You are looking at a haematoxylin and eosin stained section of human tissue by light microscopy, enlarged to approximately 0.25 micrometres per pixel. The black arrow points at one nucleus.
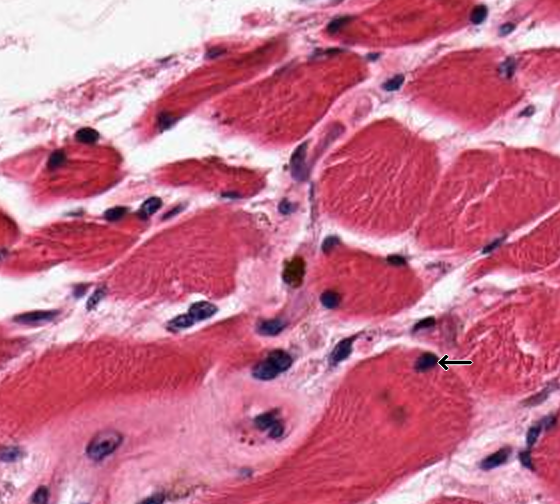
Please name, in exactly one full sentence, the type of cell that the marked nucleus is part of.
The nucleus indicated by the mark belongs to a skeletal muscle fibre.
